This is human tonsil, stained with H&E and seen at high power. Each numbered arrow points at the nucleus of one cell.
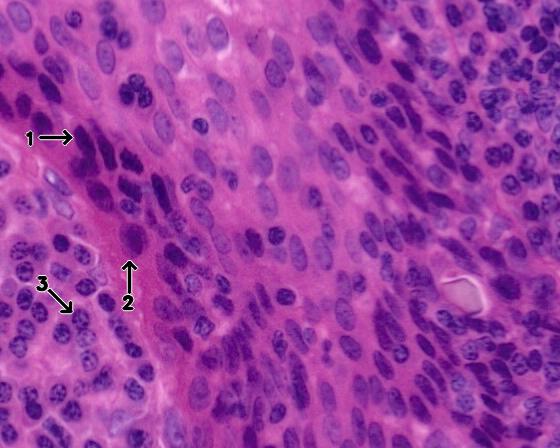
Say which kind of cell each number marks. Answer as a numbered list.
1. squamous epithelial cell
2. squamous epithelial cell
3. plasma cell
